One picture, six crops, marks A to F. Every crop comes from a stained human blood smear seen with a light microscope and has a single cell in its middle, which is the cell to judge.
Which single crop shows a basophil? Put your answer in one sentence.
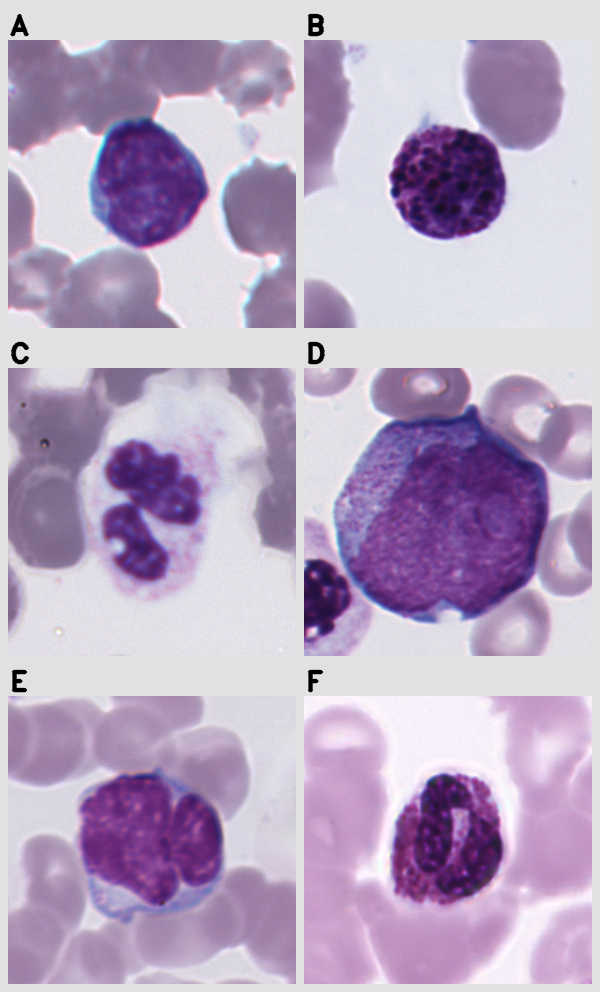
Crop B is the crop that displays a basophil.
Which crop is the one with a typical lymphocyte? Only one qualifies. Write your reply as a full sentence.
Within this set, crop A is the one with a typical lymphocyte at its center.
